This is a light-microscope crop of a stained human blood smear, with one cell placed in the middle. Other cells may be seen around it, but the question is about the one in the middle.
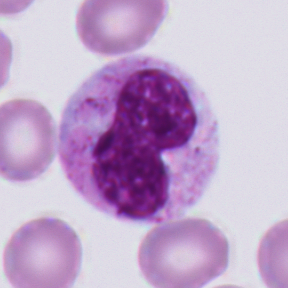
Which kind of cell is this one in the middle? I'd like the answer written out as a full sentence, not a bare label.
The cell centred in this crop is categorized as a metamyelocyte.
